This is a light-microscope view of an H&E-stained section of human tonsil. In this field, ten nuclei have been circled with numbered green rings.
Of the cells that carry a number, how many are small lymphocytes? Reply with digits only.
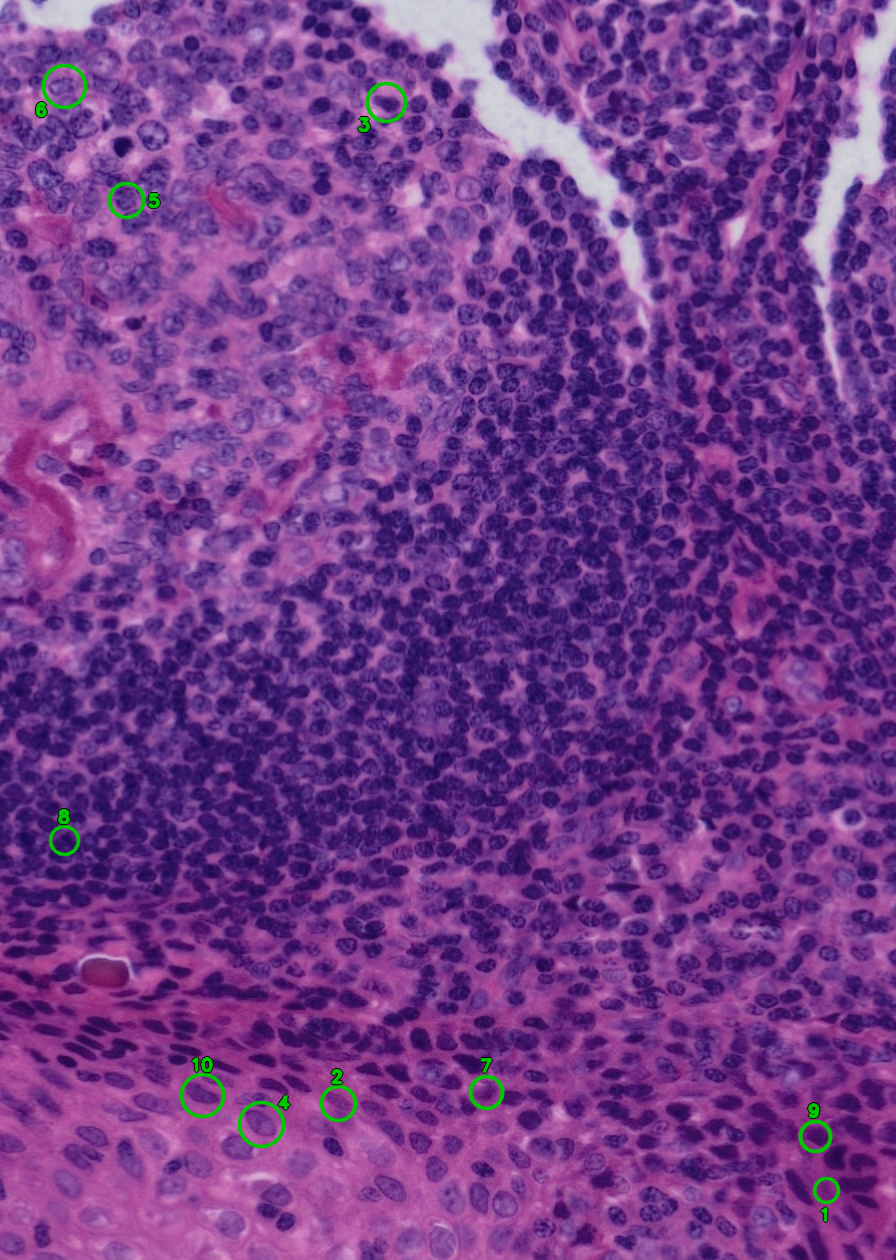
2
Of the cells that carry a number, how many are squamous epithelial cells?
6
